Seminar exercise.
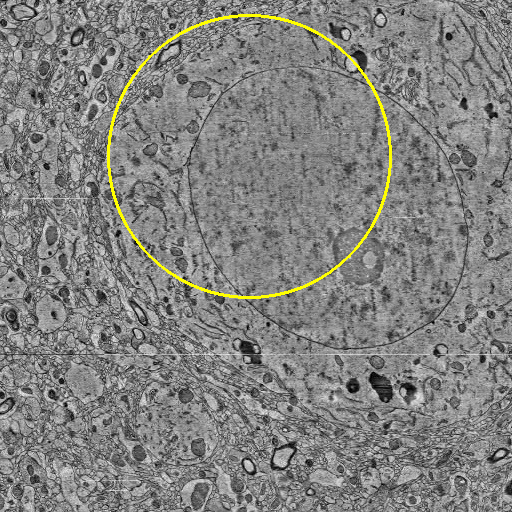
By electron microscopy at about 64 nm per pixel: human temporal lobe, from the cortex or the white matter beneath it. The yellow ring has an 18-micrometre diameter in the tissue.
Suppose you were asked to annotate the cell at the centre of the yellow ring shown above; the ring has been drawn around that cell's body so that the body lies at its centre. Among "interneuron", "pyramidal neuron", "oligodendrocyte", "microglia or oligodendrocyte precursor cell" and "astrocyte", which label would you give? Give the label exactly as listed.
pyramidal neuron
